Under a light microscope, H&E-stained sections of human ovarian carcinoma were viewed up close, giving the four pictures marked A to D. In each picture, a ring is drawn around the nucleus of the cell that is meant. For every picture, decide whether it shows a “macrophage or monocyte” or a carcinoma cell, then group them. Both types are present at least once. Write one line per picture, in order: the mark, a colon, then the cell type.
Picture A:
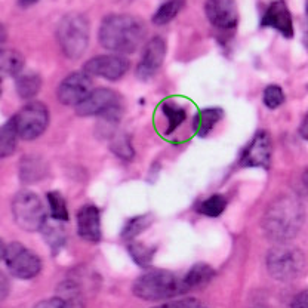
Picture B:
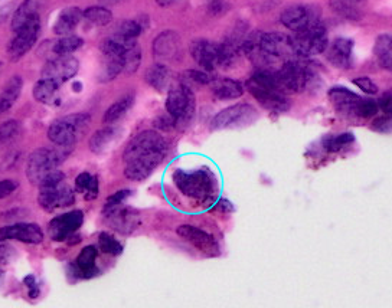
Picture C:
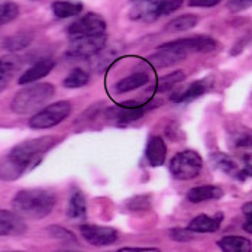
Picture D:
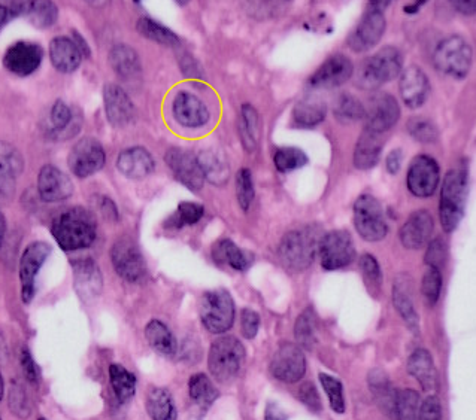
A: macrophage or monocyte
B: carcinoma cell
C: carcinoma cell
D: macrophage or monocyte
